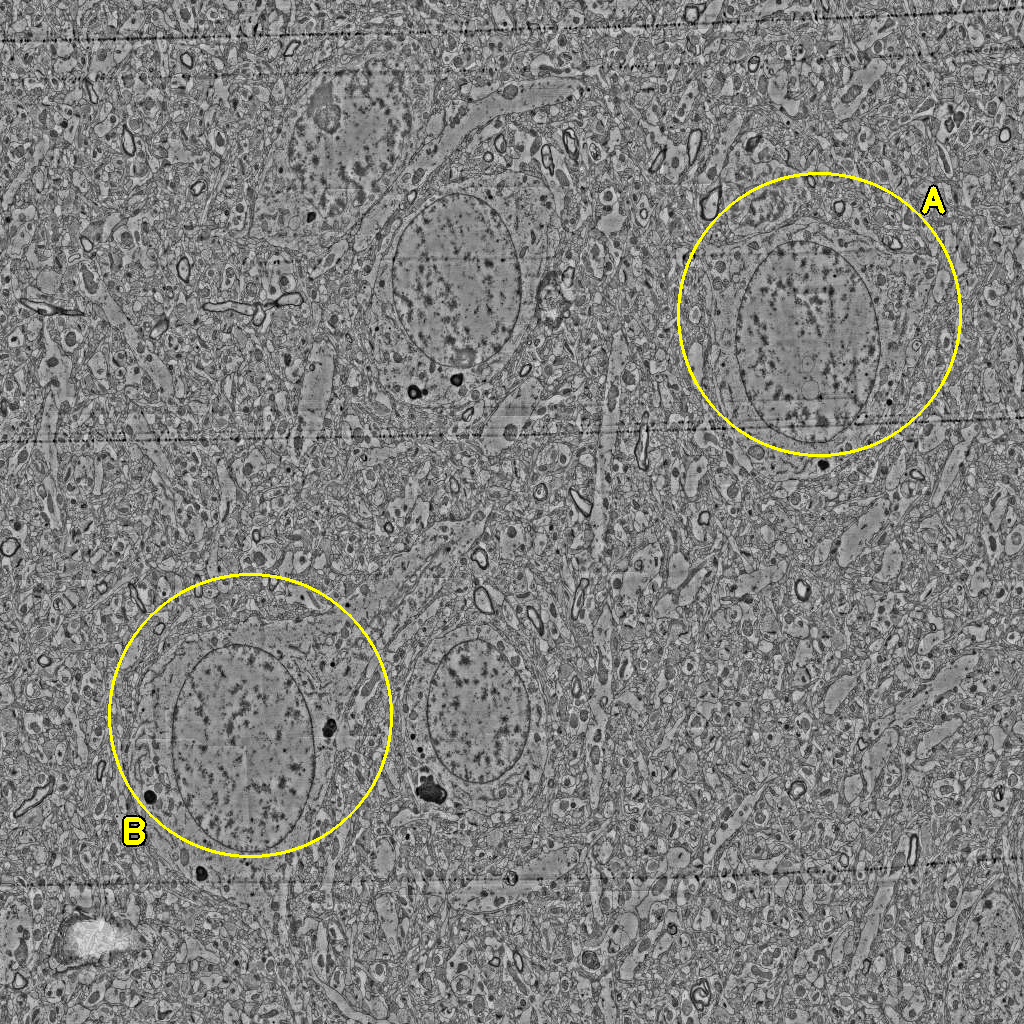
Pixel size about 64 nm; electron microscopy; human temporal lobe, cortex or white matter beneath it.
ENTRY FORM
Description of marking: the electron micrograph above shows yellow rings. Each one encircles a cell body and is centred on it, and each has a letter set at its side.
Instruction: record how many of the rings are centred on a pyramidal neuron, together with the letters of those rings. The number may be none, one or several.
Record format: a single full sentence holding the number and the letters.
The rings that are each centred on a pyramidal neuron total two and bear the letters A and B.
